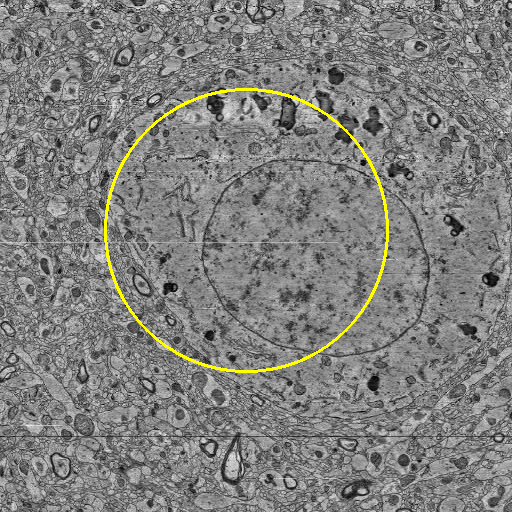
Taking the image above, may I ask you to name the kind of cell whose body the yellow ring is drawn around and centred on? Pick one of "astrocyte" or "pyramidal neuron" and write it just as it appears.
pyramidal neuron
